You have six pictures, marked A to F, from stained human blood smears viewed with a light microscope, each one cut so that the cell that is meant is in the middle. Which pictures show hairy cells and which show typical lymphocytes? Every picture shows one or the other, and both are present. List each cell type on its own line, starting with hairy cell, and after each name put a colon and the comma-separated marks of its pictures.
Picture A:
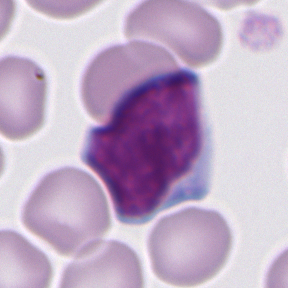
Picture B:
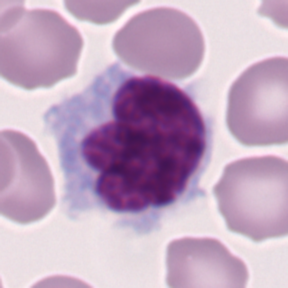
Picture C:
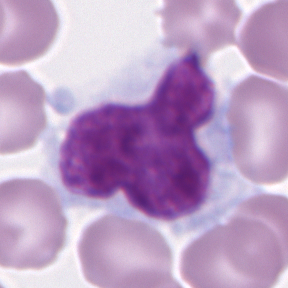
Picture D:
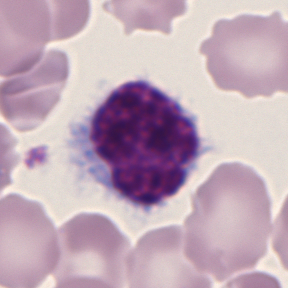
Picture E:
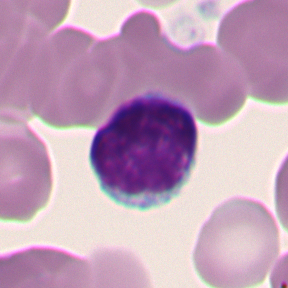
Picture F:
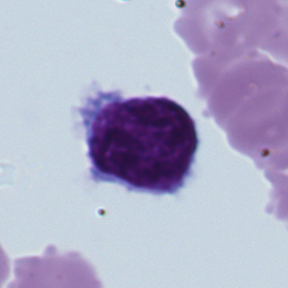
hairy cell: B, C, D, F
typical lymphocyte: A, E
